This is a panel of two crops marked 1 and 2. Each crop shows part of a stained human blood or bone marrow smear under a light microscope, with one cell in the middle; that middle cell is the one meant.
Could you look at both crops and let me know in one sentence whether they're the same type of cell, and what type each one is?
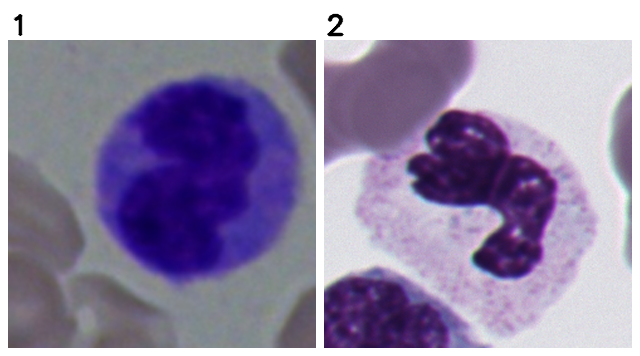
No, the cells are a monocyte in crop 1 and a segmented neutrophil in crop 2.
